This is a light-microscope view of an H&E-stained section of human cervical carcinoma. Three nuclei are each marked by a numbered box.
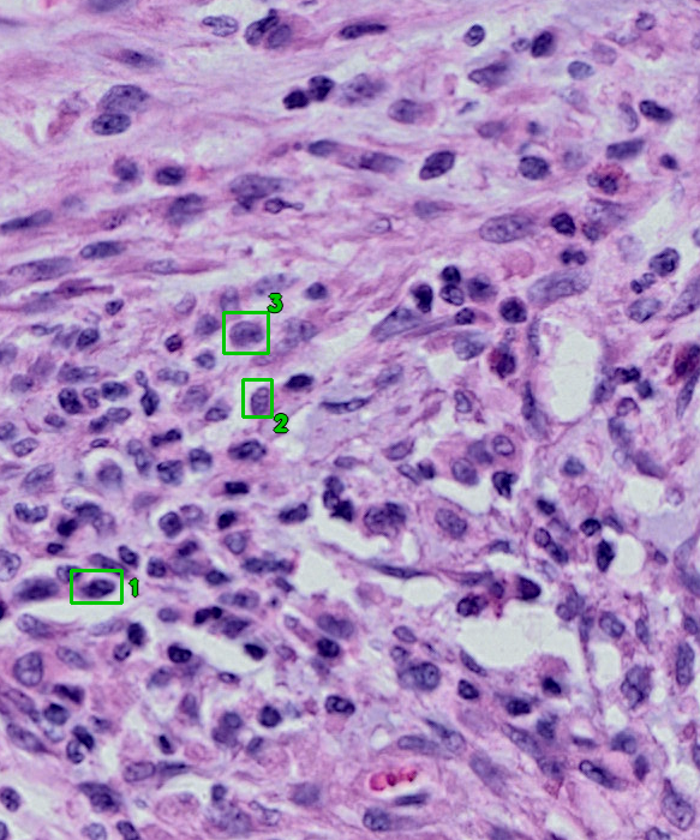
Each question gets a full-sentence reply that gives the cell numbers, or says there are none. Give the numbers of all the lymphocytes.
Response: cell 1 is a lymphocyte, and no other numbered cell is.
